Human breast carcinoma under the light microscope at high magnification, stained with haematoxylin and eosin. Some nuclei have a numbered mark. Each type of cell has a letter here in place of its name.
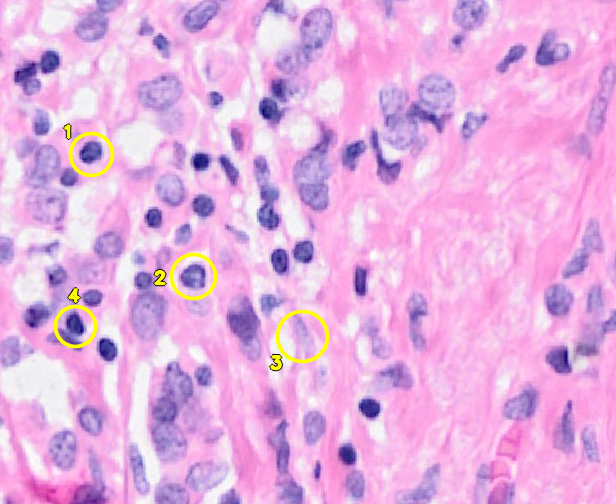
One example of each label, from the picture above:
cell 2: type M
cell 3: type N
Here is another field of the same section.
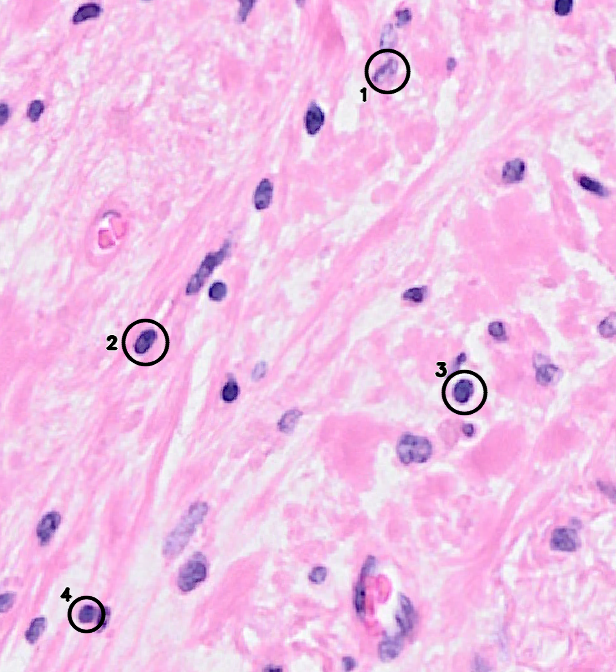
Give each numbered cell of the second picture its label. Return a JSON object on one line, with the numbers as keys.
{"1": "type N", "2": "type M", "3": "type M", "4": "type M"}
